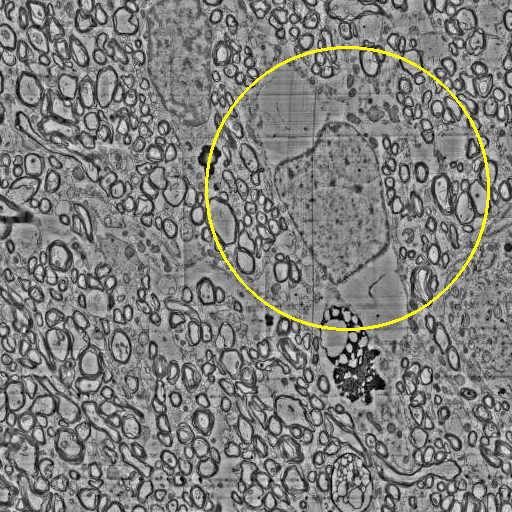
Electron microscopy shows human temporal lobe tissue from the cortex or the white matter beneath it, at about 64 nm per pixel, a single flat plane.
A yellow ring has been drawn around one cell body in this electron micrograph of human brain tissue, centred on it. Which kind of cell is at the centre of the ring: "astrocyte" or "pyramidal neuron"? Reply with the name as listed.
astrocyte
